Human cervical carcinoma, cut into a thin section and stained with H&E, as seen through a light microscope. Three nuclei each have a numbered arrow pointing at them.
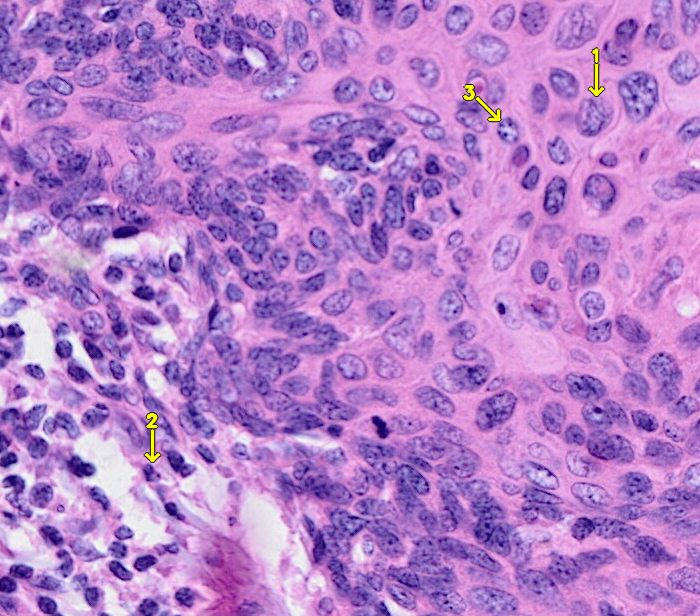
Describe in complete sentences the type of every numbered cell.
Cell 1 is a squamous carcinoma cell, cell 2 is a lymphocyte and cell 3 is a squamous carcinoma cell.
